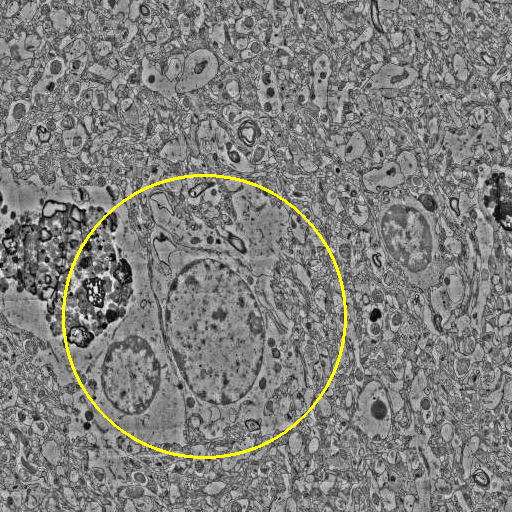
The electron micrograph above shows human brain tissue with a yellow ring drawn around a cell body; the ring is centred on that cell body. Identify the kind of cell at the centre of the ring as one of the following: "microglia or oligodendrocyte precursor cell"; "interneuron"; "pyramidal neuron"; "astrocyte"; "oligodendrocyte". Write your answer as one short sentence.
The cell at the centre of the ring is an astrocyte.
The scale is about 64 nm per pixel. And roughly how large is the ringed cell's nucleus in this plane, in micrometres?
Roughly 9 by 6 micrometres in this plane, for the nucleus of the ringed cell.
